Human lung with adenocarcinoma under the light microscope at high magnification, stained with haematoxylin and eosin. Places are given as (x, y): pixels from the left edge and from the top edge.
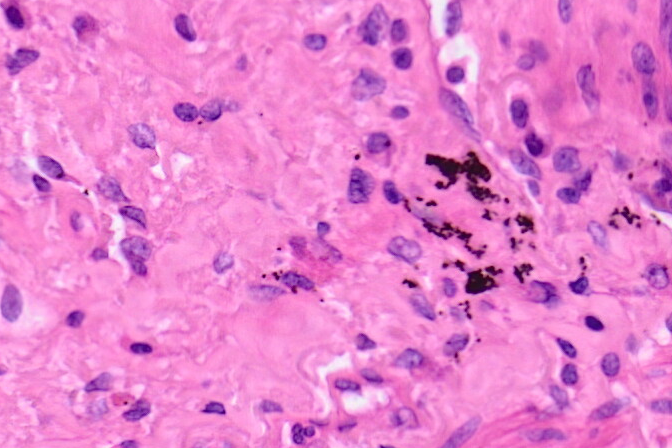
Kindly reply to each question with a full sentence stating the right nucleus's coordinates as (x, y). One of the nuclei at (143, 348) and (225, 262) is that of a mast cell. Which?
The nucleus whose cell is a mast cell is the one at (143, 348).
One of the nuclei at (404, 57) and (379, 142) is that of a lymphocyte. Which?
Between the two nuclei, the one sitting at (404, 57) belongs to a lymphocyte.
